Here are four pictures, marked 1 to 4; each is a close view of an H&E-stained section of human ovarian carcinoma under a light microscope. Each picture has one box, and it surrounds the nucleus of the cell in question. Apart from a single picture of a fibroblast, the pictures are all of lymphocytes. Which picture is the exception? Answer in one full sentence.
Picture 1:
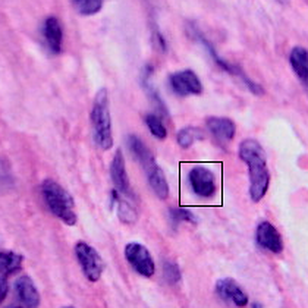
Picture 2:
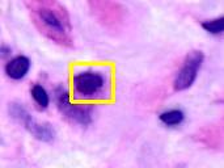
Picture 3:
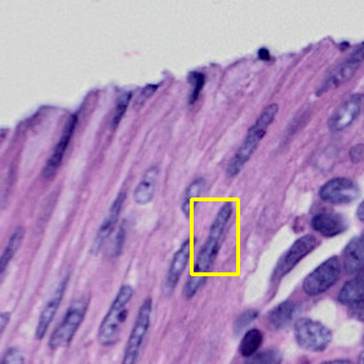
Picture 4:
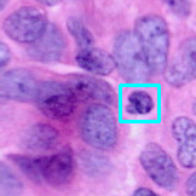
The fibroblast is the one in picture 3.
